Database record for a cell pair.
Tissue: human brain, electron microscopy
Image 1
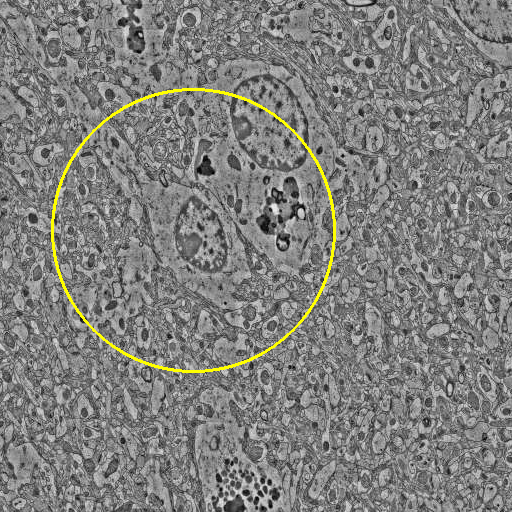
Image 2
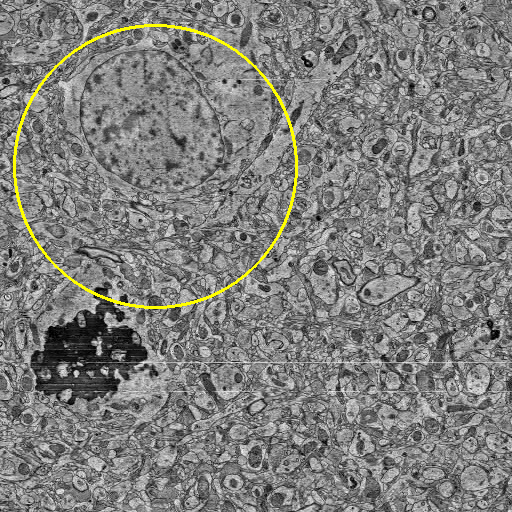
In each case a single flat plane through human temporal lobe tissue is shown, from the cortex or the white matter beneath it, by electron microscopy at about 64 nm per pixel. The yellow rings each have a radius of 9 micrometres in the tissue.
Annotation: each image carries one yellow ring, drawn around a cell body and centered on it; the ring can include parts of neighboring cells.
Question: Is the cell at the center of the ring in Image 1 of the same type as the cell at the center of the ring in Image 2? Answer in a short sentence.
Yes, the cells are of the same type.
